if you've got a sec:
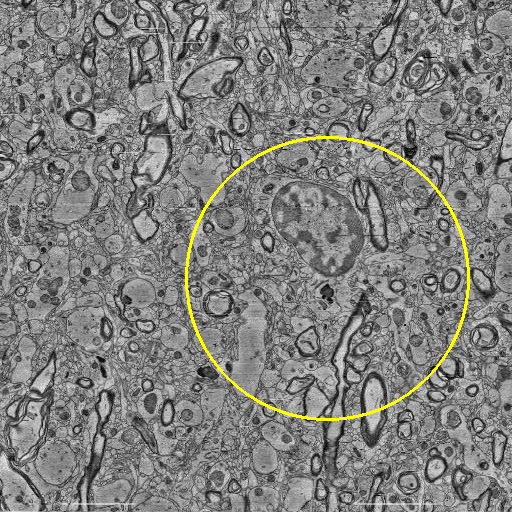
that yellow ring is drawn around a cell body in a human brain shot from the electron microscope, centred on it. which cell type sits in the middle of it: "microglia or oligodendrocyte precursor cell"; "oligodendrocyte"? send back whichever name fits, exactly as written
microglia or oligodendrocyte precursor cell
